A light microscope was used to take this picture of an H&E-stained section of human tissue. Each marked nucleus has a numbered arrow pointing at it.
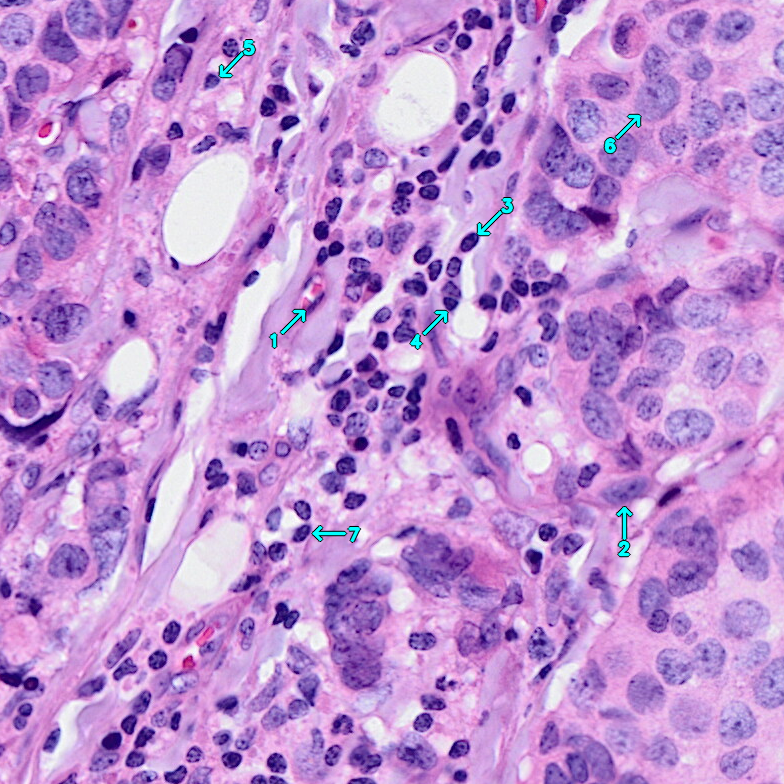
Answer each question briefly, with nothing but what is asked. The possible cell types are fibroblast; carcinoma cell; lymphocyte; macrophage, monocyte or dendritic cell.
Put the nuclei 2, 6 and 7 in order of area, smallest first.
7, 2, 6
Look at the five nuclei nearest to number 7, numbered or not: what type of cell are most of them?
lymphocyte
